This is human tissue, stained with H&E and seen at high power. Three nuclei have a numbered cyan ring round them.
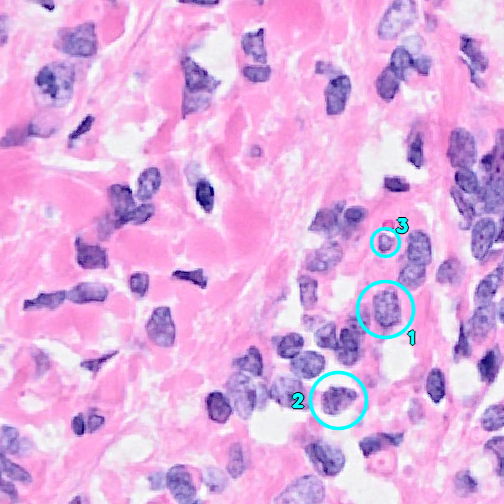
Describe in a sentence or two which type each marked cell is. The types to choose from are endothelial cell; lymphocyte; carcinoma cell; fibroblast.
Cell 1 is a carcinoma cell, cell 2 is a carcinoma cell and cell 3 is an endothelial cell.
